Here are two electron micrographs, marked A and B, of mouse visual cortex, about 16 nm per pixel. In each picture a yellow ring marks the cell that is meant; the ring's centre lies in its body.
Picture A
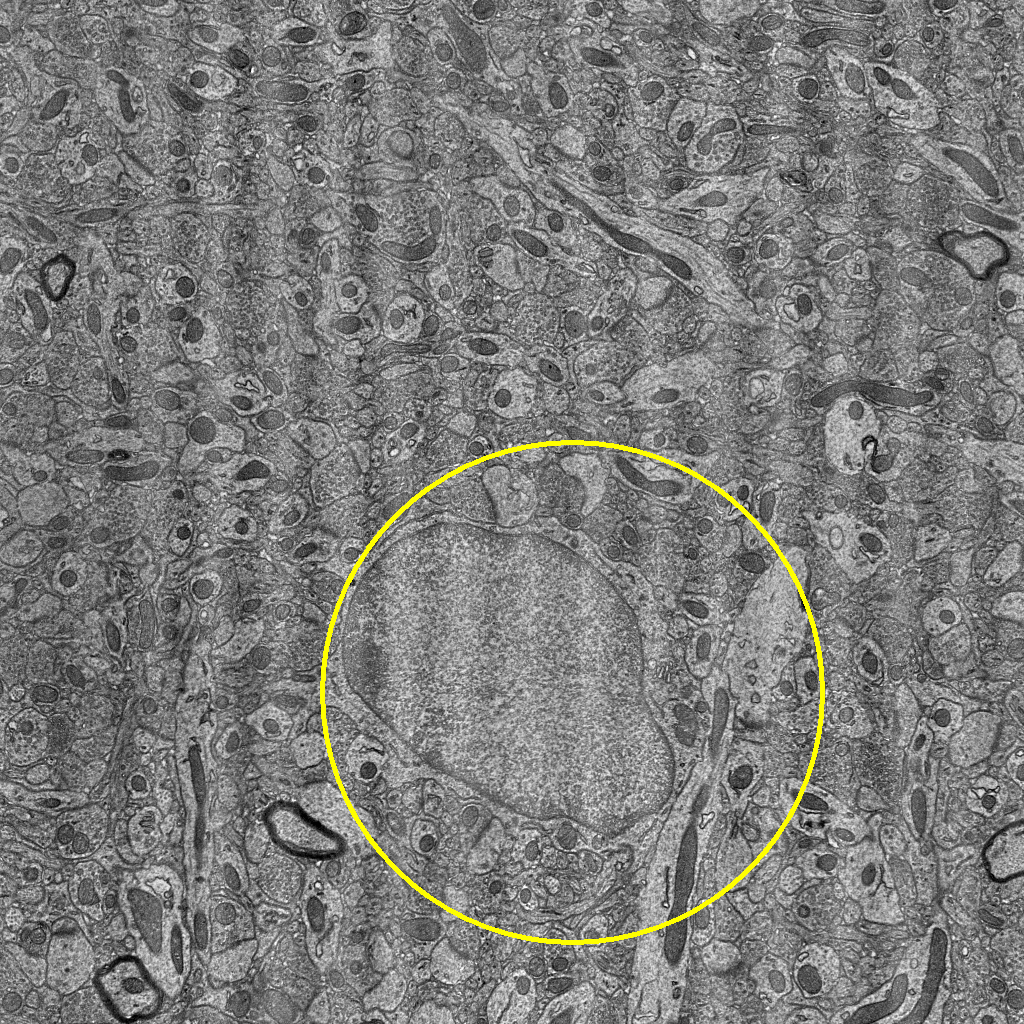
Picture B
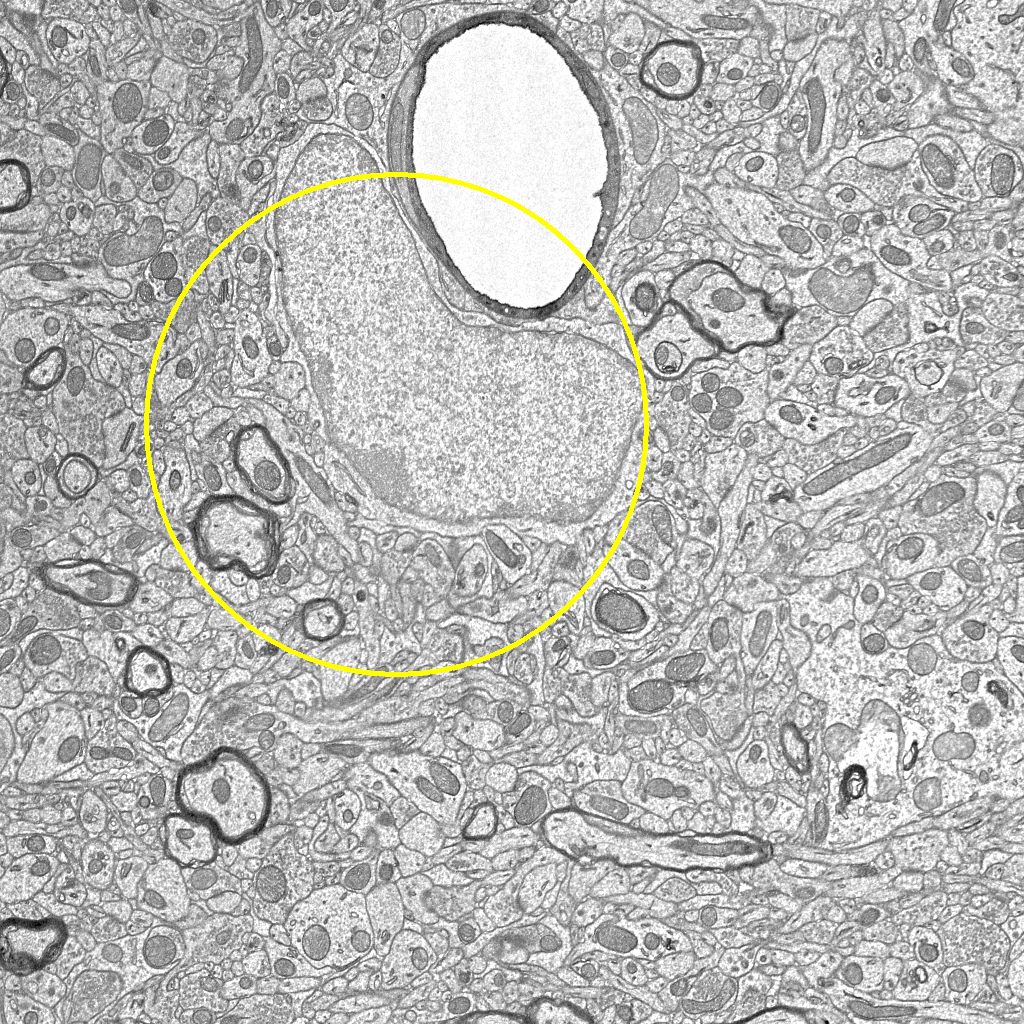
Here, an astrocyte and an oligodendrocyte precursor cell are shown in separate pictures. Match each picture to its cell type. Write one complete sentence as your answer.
In picture A the cell is an astrocyte; in picture B, an oligodendrocyte precursor cell.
